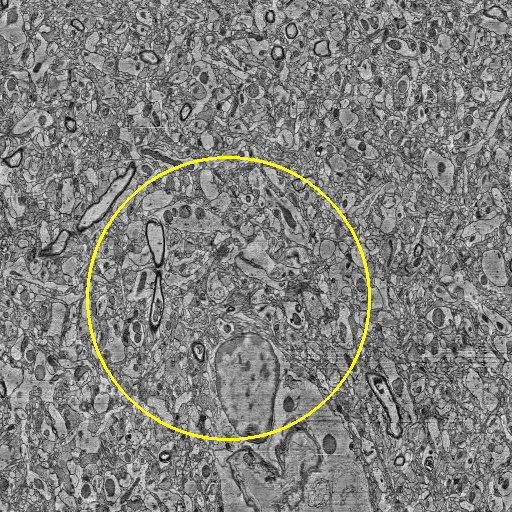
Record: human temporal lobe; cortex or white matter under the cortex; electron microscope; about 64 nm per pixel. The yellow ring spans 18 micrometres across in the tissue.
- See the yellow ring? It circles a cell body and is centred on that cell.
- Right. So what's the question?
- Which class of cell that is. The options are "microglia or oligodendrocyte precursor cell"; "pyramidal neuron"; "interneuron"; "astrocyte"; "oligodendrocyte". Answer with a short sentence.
The centre of the ring holds a microglial cell or oligodendrocyte precursor cell.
